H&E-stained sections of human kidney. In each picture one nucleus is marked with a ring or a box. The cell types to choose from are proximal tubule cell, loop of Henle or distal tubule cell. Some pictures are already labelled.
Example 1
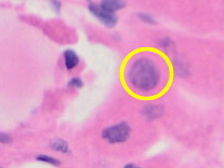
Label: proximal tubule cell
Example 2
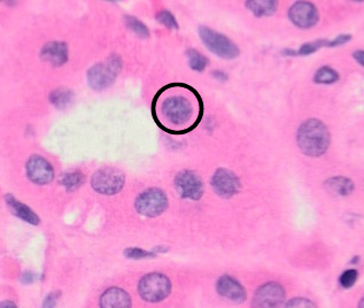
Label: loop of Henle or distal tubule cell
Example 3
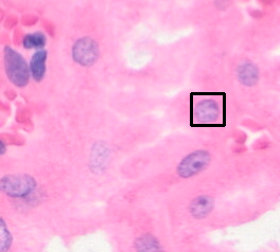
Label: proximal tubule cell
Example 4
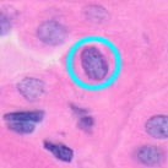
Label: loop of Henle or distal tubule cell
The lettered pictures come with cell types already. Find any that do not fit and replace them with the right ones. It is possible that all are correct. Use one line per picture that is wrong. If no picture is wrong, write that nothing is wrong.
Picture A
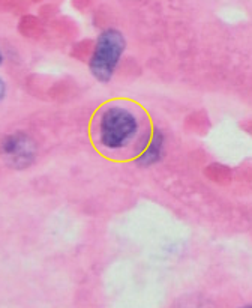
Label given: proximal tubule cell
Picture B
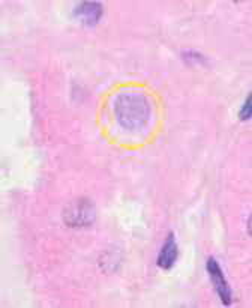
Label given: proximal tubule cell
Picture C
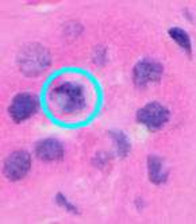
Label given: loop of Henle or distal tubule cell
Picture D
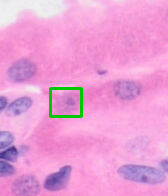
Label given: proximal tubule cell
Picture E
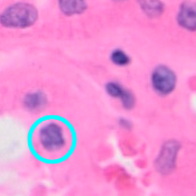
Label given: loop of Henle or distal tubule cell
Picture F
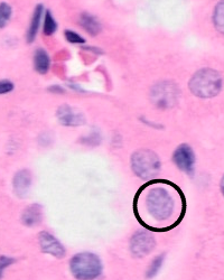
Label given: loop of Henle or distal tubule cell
None of the labels needs changing.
